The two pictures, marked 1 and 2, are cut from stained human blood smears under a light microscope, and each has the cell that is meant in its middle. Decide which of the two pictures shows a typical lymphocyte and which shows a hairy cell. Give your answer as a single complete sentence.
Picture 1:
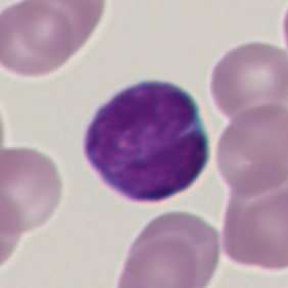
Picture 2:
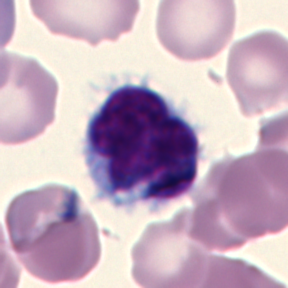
Picture 1 is of a typical lymphocyte, and picture 2 is of a hairy cell.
